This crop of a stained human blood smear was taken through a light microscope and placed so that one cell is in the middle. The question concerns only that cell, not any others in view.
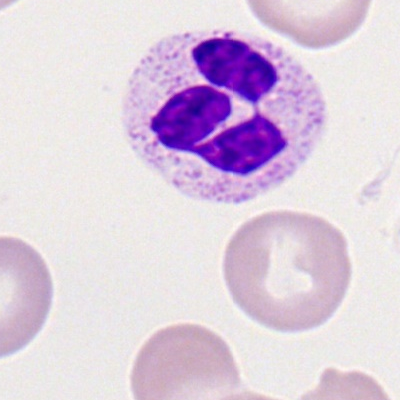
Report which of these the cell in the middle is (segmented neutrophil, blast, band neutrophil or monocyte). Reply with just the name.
segmented neutrophil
